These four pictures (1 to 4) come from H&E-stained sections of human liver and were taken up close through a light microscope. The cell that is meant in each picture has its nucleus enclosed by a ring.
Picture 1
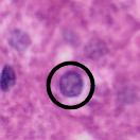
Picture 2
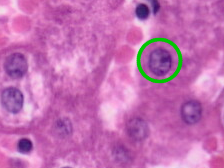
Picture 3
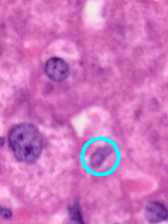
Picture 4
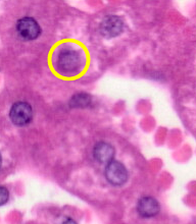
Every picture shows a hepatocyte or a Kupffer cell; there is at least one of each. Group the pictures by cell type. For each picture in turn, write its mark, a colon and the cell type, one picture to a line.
1: hepatocyte
2: hepatocyte
3: Kupffer cell
4: hepatocyte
